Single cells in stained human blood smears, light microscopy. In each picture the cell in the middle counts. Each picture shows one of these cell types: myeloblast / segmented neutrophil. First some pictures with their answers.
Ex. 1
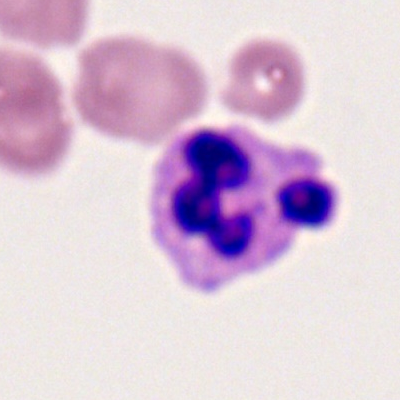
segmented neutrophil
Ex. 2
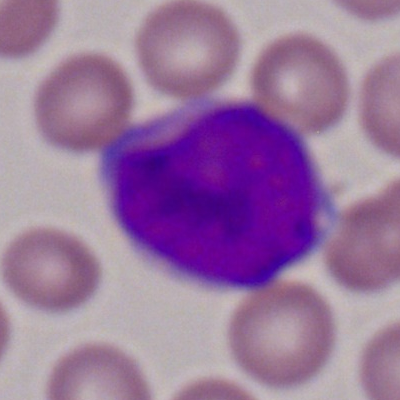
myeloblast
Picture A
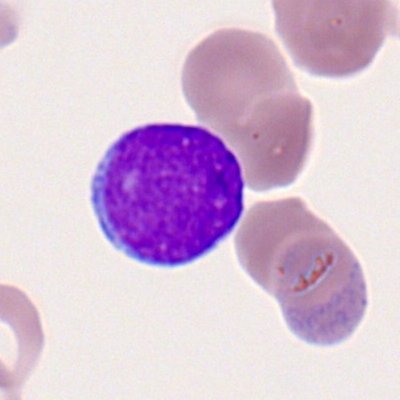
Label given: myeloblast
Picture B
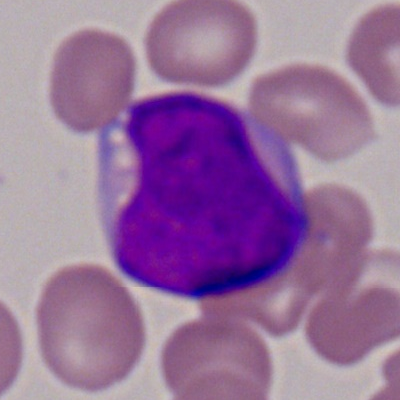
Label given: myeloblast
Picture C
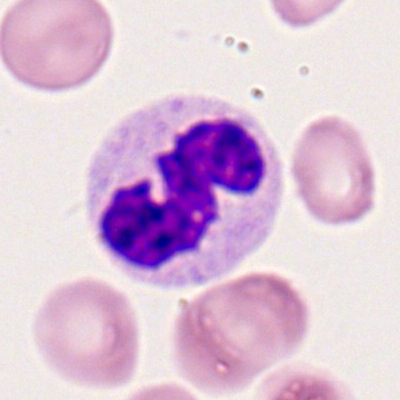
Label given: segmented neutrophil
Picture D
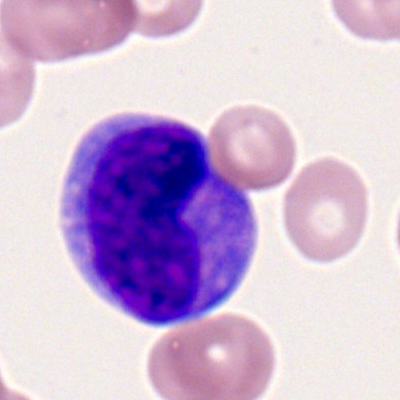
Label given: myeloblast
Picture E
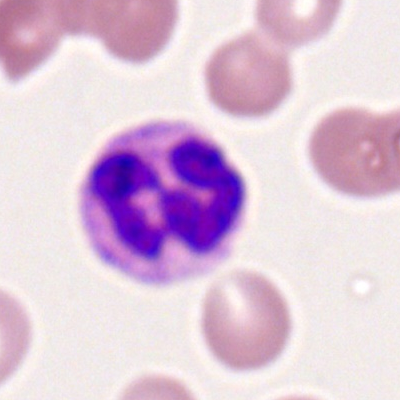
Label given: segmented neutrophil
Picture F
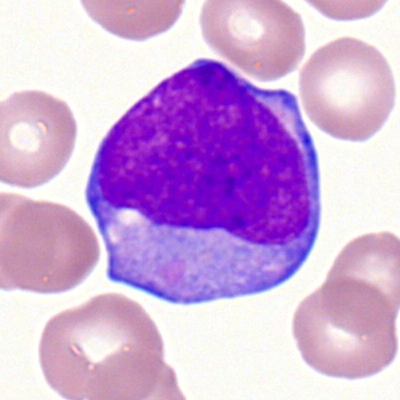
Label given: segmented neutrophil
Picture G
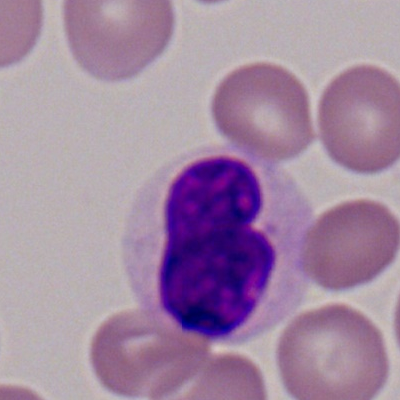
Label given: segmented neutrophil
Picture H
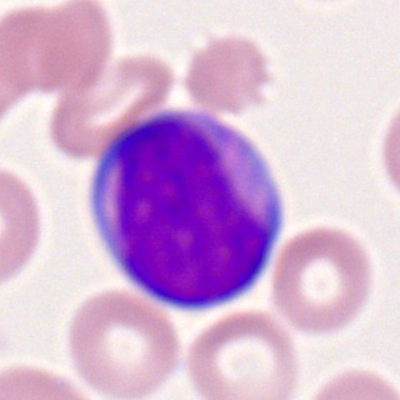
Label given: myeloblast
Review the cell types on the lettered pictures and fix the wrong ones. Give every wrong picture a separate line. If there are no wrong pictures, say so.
F should be myeloblast, not segmented neutrophil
